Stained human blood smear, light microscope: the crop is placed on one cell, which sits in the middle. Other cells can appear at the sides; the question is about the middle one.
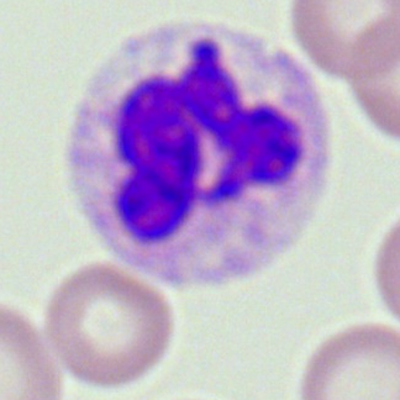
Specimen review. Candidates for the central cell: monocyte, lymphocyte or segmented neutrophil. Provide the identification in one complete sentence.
The cell centred in this crop is categorized as a segmented neutrophil.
